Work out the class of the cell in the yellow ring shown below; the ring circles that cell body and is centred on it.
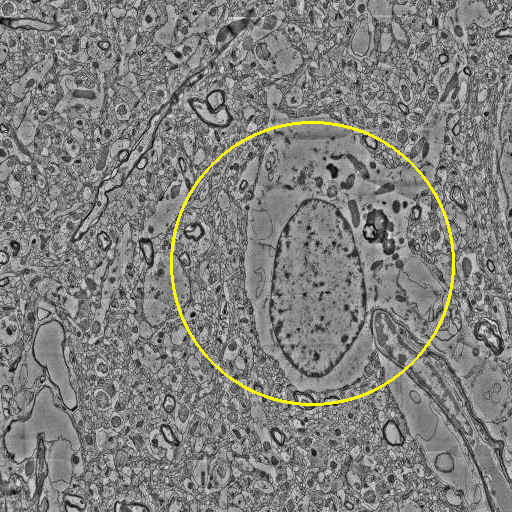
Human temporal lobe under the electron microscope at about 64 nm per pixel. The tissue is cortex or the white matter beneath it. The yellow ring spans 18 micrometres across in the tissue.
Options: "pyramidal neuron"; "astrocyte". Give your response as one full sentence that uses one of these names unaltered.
The body ringed in yellow, right at the ring's centre, is that of an astrocyte.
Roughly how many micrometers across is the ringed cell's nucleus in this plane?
The nucleus comes to approximately 11 by 6 micrometres and is clearly longer than it is wide in this plane.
